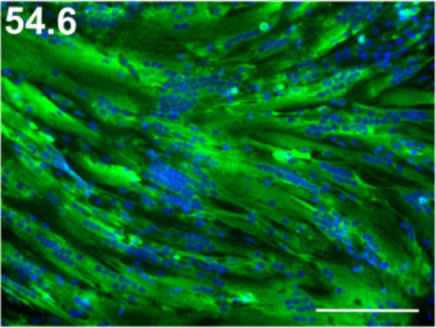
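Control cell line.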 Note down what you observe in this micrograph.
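This is a dense culture of myotubes, seen as long green cells with blue nuclei. The green cells are broad and elongated and run largely parallel, covering nearly the entire field. Many nuclei are gathered in clusters and rows within single green cells, showing that these cells are multinucleated. Scattered blue nuclei also lie between the green cells where little green is seen. Little dark background remains uncovered.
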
